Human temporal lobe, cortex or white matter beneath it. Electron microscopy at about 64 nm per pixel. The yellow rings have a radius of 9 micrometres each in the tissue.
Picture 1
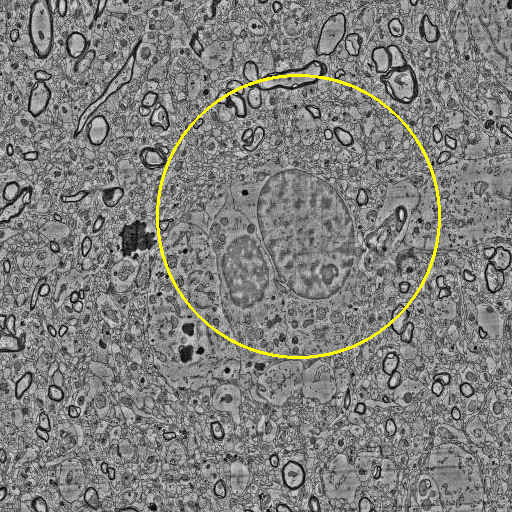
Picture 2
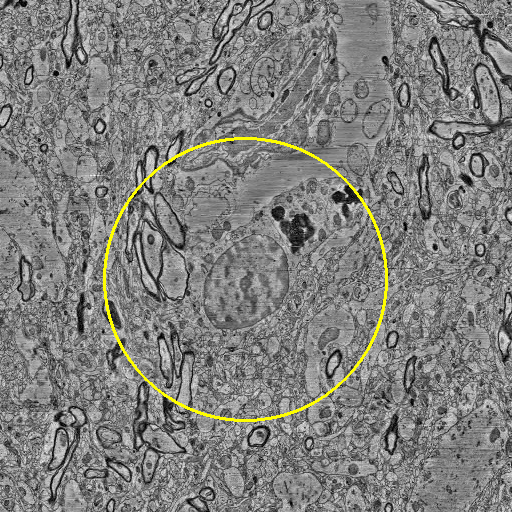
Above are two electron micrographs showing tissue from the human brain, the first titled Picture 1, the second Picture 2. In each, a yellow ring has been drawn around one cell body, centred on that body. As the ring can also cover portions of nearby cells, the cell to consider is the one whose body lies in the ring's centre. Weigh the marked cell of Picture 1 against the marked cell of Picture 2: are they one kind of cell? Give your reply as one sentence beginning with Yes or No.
Yes, the two cells sitting at the ring centres in the pictures are of one kind.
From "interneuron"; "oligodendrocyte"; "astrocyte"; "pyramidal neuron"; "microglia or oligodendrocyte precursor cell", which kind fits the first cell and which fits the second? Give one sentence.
Each of the two pictures has an oligodendrocyte at the ring centre.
